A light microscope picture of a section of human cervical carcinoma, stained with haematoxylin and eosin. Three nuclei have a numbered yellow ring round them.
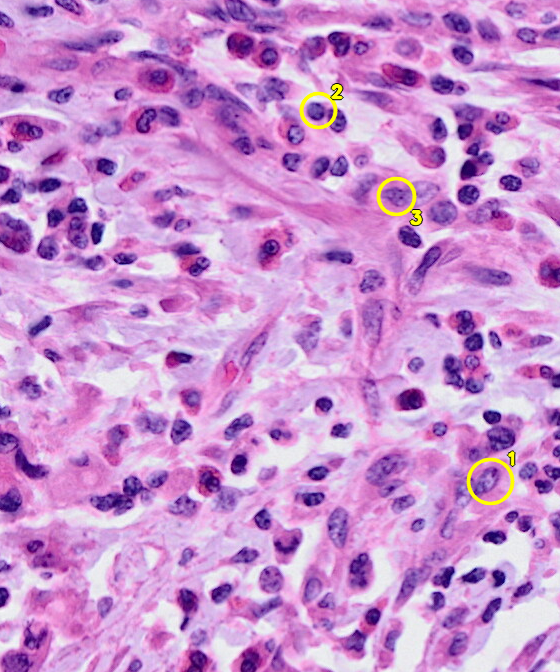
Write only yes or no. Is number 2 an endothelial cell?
no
